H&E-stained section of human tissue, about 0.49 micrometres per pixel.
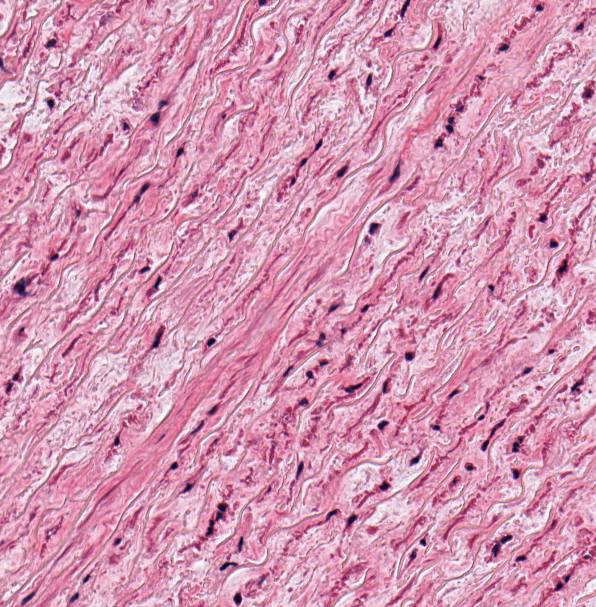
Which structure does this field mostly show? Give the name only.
tunica media of an artery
